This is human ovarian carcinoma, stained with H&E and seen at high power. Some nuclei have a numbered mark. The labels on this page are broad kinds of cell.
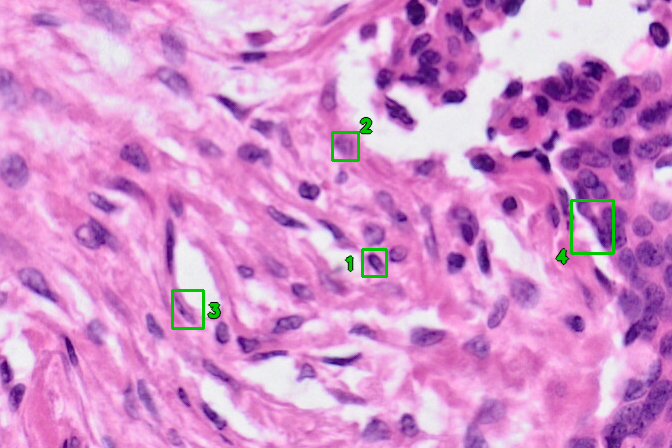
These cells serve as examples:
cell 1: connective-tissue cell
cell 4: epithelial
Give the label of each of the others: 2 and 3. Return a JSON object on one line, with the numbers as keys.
{"2": "connective-tissue cell", "3": "connective-tissue cell"}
